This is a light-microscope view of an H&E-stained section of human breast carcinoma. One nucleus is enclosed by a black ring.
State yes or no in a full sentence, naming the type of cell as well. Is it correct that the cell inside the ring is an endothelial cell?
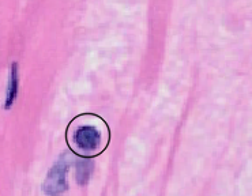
No, instead of an endothelial cell, the cell inside the ring is a lymphocyte.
